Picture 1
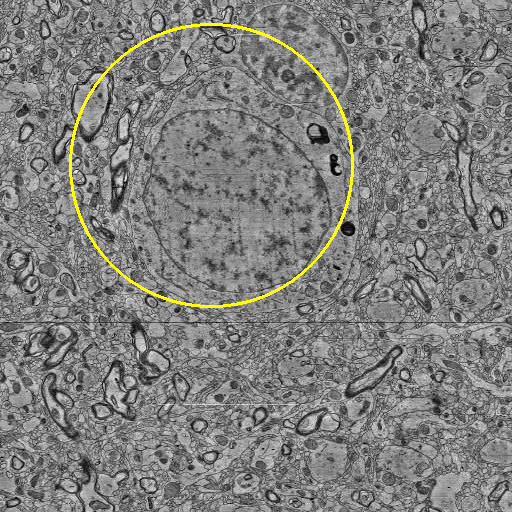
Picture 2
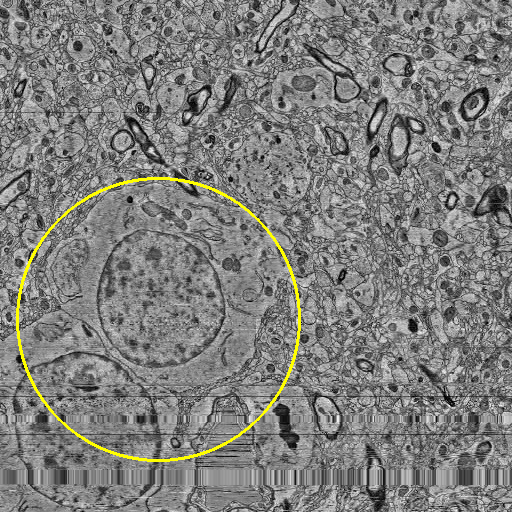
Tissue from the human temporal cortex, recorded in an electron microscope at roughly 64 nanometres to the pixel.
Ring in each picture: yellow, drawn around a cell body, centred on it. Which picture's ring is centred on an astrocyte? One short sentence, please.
Picture 2 is the one.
